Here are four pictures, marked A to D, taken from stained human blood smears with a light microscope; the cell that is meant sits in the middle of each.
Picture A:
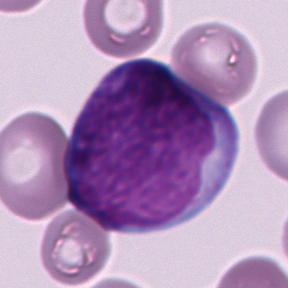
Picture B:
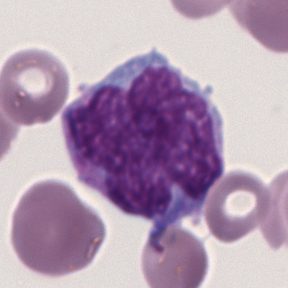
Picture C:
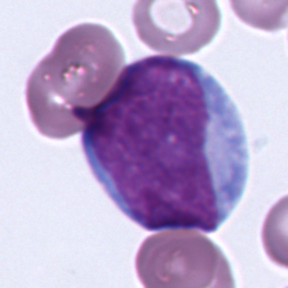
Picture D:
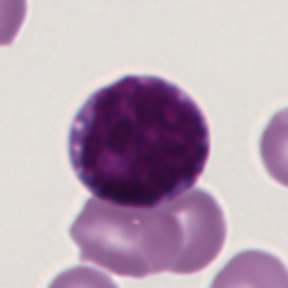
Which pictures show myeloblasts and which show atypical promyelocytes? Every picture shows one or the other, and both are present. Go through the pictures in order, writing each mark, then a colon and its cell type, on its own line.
A: atypical promyelocyte
B: atypical promyelocyte
C: myeloblast
D: myeloblast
